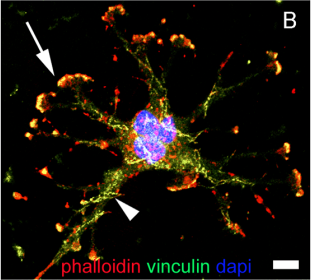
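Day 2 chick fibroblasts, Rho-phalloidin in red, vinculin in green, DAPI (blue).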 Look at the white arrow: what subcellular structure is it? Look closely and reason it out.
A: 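The arrow points to a broad, ruffled red-and-yellow patch at the tip of a thin process. Similar broad patches cap many process tips around the cell.
Conclusion: lamellipodia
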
